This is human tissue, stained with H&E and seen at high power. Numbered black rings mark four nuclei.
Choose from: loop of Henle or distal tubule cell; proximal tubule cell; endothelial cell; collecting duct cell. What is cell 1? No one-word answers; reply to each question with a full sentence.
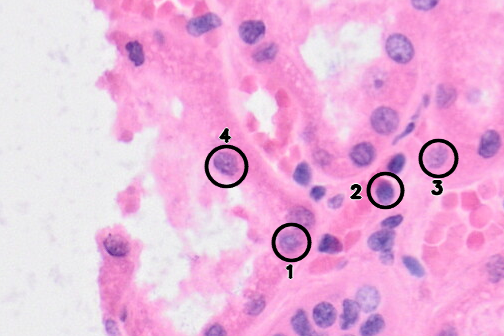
At number 1, the marked cell is a proximal tubule cell.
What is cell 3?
Heads up, the cell numbered 3 is a proximal tubule cell.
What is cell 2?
The marked cell with the number 2 is recognised as an endothelial cell.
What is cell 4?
It is as a proximal tubule cell that the cell numbered 4 is identified.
